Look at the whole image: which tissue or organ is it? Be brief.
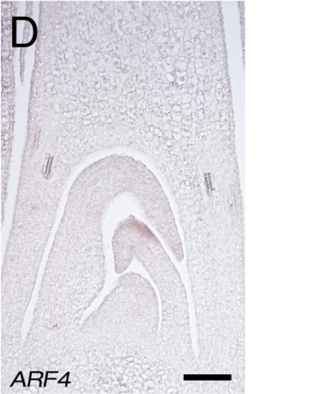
vegetative shoot apex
